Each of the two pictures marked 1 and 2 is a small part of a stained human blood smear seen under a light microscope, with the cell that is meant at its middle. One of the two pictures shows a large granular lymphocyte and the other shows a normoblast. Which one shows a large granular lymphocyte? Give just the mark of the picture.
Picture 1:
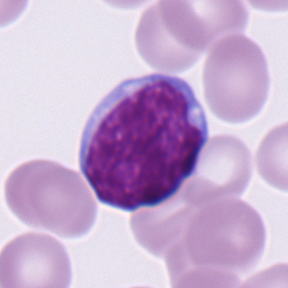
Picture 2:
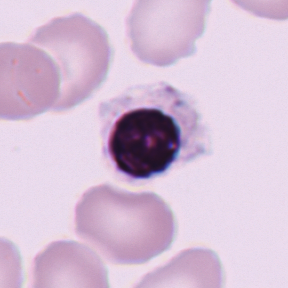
1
